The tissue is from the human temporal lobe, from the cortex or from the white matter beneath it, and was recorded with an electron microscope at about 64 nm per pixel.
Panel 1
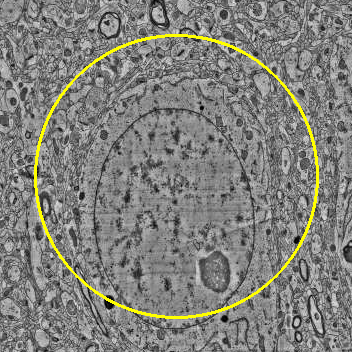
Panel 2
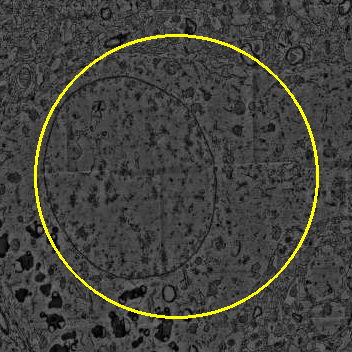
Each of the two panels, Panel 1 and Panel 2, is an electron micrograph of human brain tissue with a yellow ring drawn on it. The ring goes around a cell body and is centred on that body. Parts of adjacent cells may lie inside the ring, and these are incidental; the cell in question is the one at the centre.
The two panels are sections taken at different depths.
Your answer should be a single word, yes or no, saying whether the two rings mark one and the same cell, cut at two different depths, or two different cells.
no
